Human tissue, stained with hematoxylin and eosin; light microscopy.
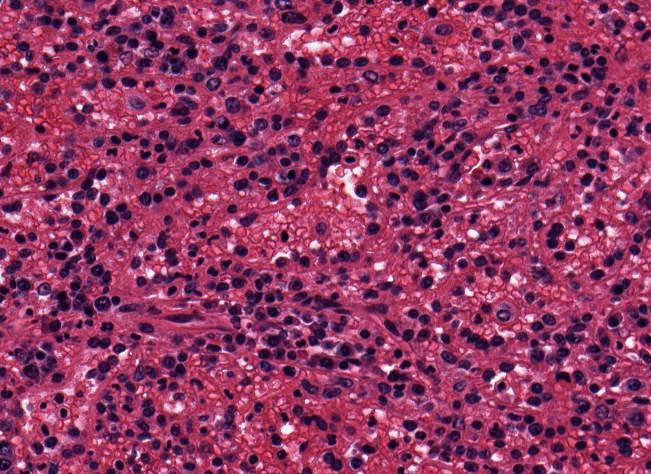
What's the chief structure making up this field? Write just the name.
red pulp of the spleen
